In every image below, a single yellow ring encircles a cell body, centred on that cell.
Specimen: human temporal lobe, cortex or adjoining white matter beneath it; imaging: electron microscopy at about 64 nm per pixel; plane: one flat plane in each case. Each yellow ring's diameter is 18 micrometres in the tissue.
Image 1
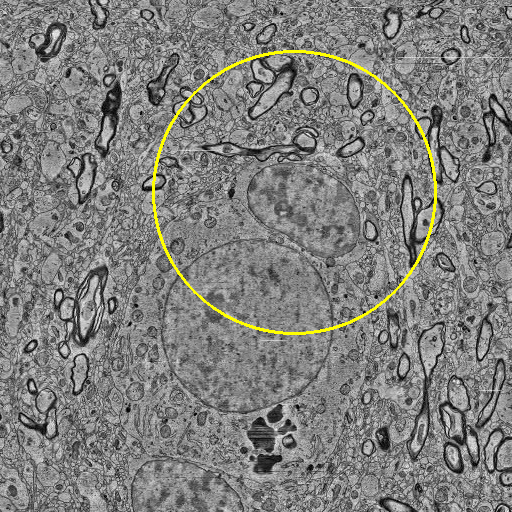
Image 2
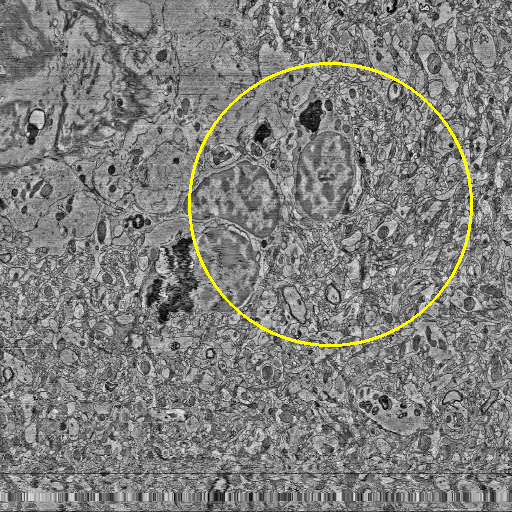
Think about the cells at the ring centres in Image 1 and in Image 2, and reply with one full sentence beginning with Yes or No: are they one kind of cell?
Yes, the cells centred in the rings of Image 1 and Image 2 are one kind of cell.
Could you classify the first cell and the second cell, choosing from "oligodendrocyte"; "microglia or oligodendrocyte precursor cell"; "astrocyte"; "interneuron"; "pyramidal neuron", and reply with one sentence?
Each of the two rings is centred on an oligodendrocyte.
